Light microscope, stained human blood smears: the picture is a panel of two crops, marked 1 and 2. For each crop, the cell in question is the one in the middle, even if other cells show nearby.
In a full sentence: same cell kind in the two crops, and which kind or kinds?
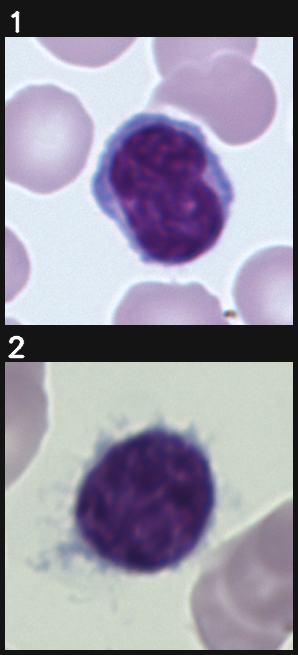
No, look again: crop 1 shows a typical lymphocyte, and crop 2 shows a hairy cell.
